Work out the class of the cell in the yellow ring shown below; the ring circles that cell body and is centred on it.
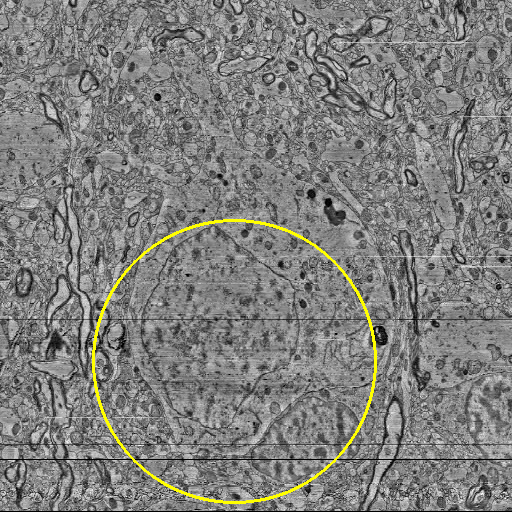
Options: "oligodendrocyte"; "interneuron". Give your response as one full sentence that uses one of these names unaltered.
The body ringed in yellow, right at the ring's centre, is that of an interneuron.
